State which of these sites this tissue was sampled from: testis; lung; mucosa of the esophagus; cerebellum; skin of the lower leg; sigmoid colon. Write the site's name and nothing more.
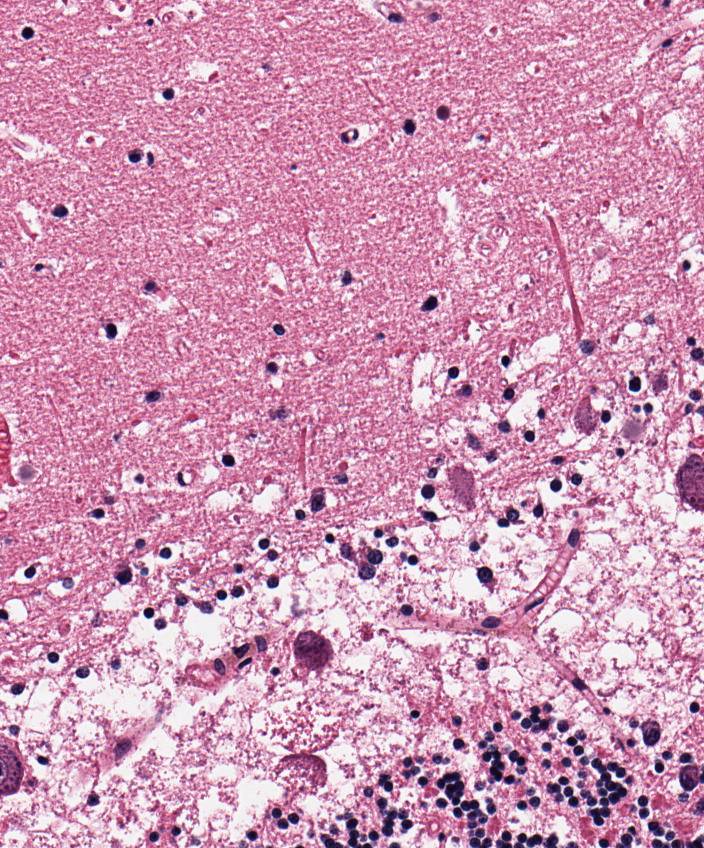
cerebellum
